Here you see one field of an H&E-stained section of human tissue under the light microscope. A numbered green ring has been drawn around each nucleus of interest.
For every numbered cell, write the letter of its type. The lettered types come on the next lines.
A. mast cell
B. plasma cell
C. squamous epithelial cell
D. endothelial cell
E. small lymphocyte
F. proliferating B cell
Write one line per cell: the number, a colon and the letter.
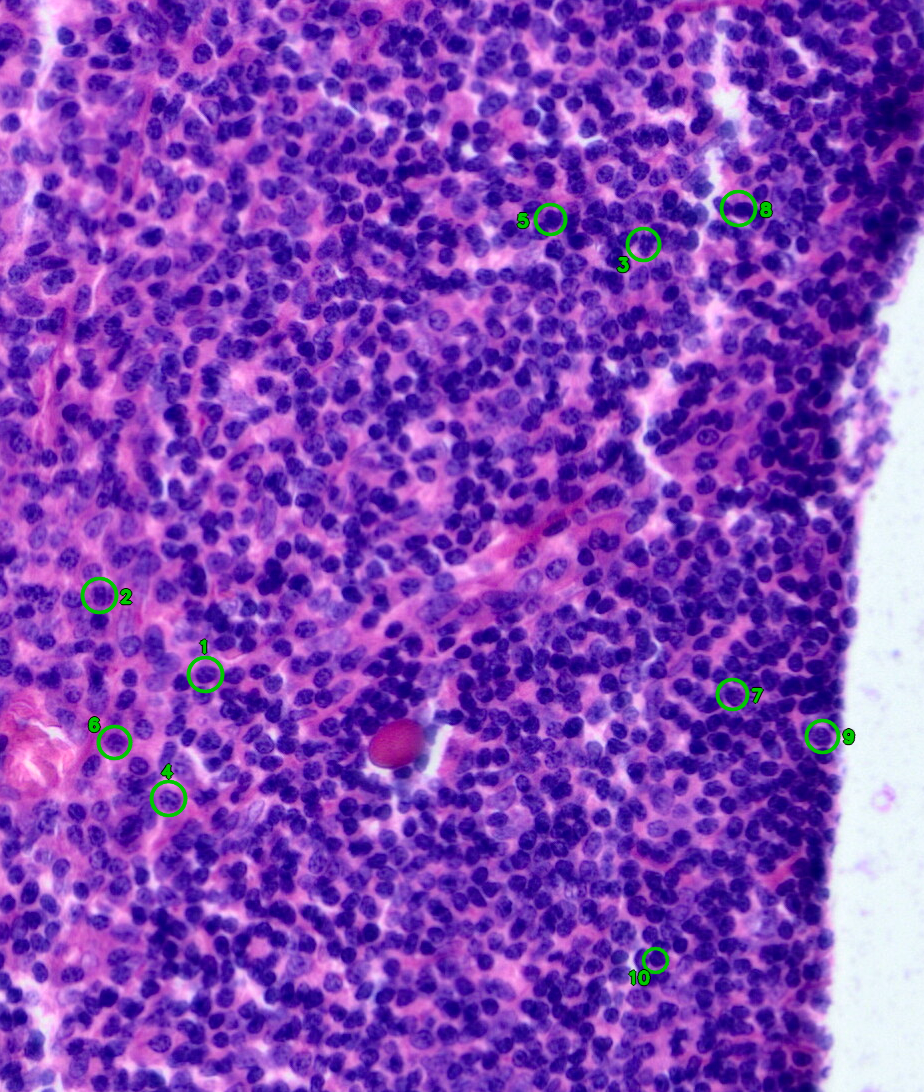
1: B
2: B
3: E
4: B
5: E
6: B
7: E
8: E
9: E
10: E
